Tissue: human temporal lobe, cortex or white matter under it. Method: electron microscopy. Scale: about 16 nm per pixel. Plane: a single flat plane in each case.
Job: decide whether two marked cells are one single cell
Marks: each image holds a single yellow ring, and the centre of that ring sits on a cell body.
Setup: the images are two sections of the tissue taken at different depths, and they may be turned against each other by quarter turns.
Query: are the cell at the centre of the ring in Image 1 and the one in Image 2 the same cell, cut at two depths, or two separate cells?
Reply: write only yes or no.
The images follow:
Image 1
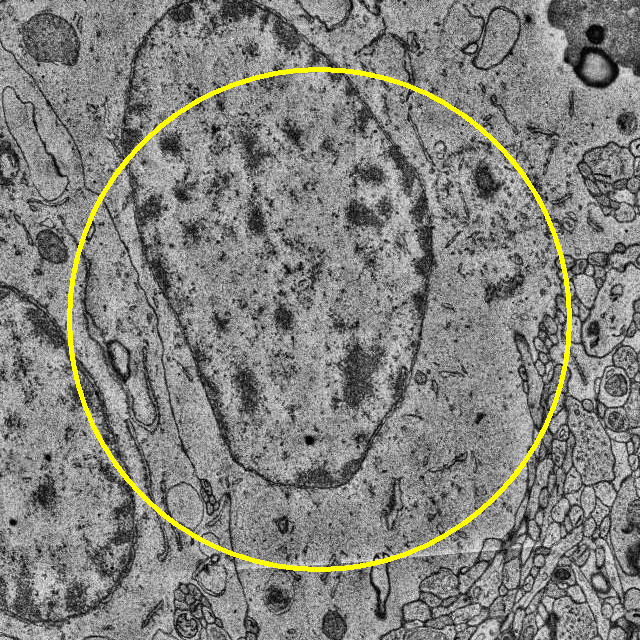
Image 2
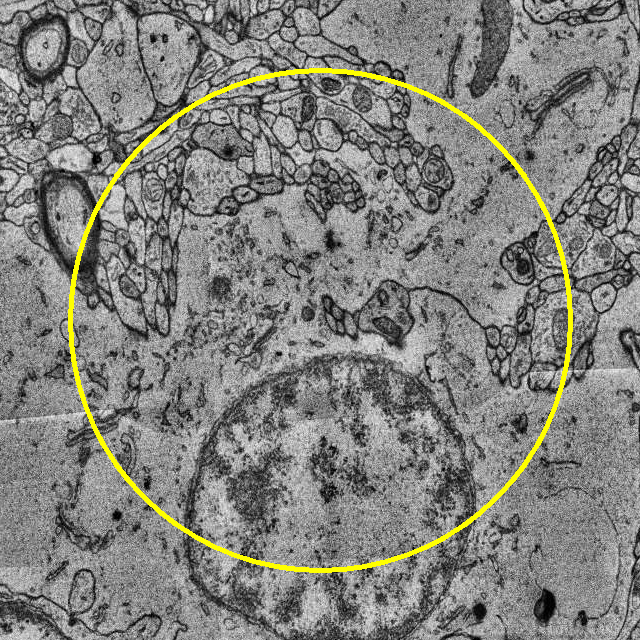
no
